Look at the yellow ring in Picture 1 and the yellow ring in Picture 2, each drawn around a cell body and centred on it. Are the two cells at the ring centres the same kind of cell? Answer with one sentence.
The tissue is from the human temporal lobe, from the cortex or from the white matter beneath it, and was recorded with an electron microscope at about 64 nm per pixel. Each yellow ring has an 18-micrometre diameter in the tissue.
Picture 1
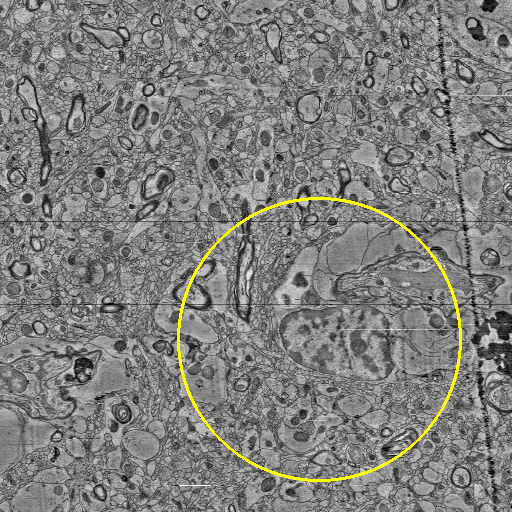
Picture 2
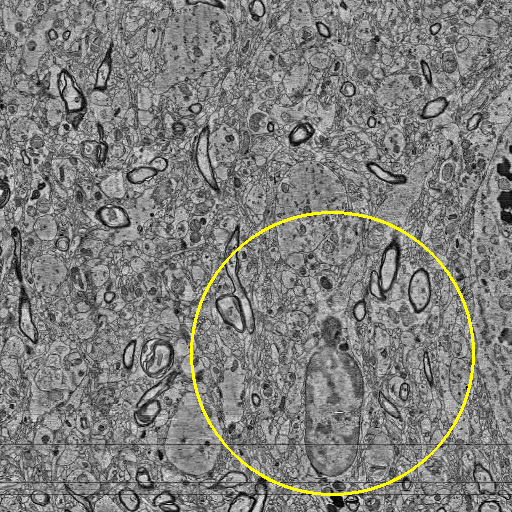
Yes, both are the same kind of cell.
